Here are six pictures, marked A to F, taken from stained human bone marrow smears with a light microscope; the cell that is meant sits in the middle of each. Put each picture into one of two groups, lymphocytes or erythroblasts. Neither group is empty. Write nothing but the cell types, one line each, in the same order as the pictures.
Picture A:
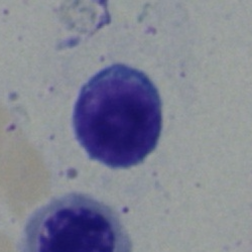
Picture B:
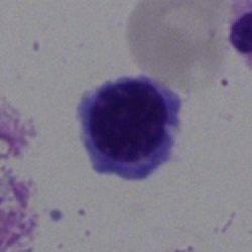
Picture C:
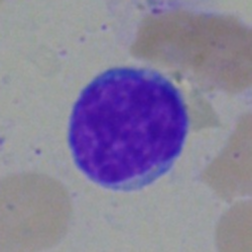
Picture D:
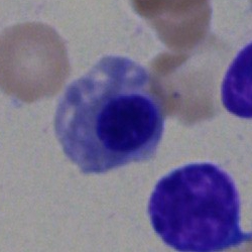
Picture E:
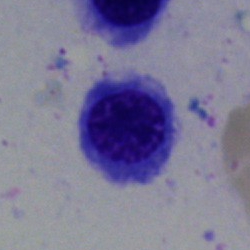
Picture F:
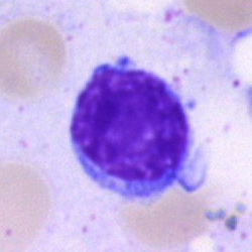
lymphocyte
erythroblast
lymphocyte
erythroblast
erythroblast
lymphocyte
